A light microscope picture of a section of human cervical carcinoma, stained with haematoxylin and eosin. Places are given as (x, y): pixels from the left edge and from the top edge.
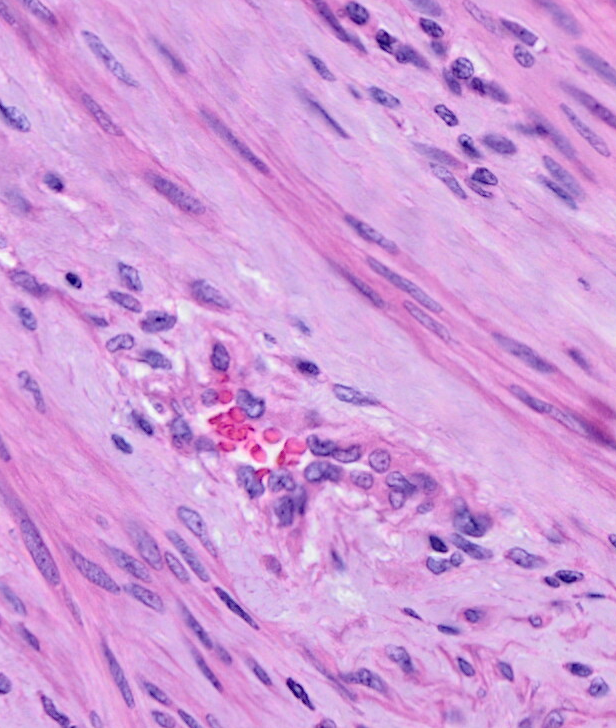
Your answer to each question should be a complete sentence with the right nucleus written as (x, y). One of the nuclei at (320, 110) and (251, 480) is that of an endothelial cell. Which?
The nucleus situated at (251, 480) is the one belonging to an endothelial cell.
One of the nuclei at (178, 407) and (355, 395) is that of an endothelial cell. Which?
The one nucleus of the two that belongs to an endothelial cell is at (178, 407).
